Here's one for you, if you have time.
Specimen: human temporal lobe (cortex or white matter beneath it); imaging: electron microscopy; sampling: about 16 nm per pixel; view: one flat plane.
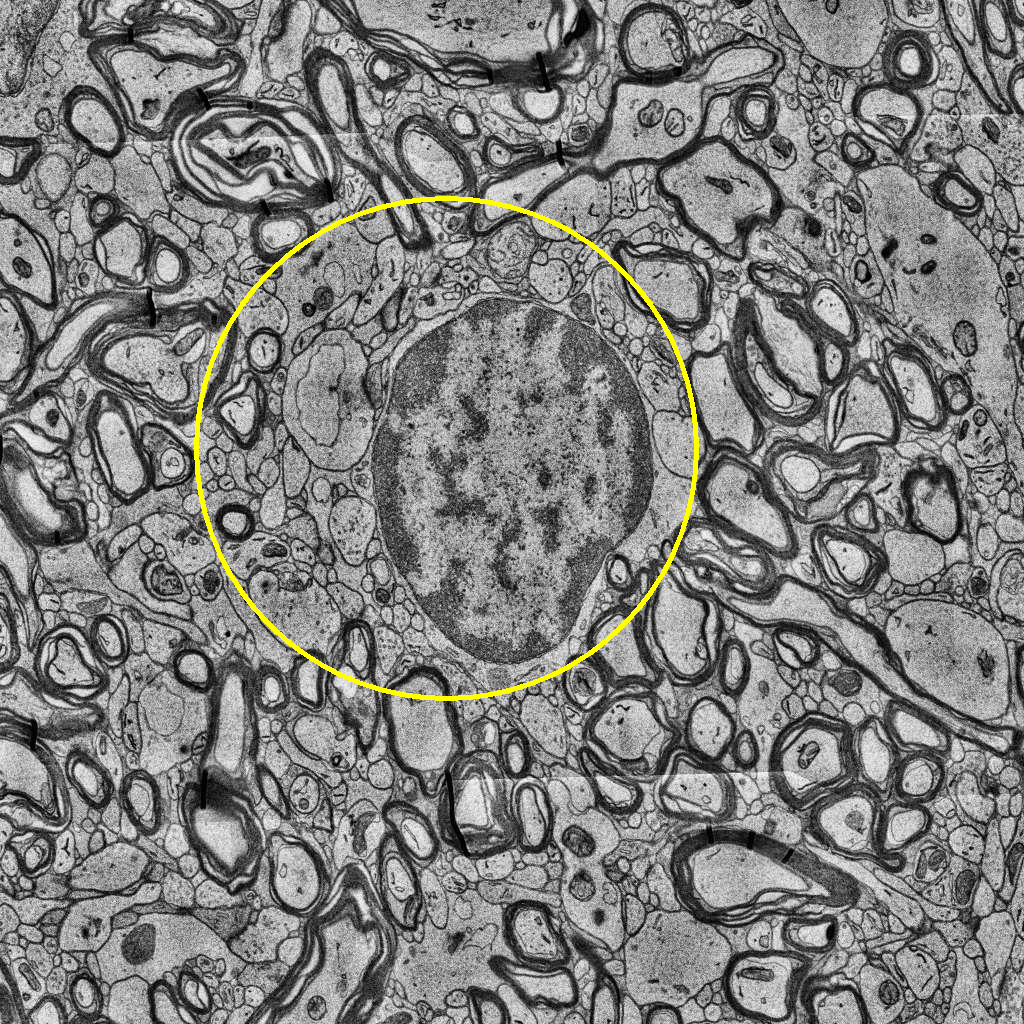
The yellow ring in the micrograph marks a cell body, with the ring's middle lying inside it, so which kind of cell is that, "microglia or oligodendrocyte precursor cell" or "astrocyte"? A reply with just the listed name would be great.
microglia or oligodendrocyte precursor cell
